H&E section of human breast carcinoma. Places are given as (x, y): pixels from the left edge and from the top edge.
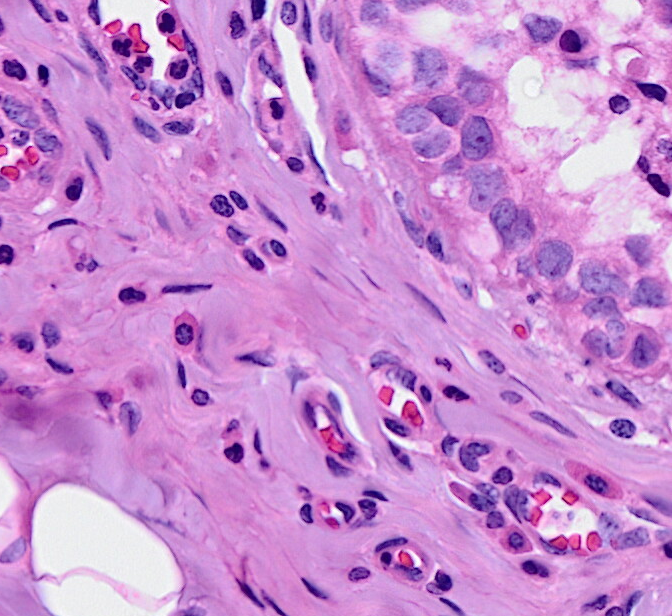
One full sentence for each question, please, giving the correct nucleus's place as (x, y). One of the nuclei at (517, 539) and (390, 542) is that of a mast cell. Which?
The nucleus of a mast cell lies at (517, 539), not at the other position.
